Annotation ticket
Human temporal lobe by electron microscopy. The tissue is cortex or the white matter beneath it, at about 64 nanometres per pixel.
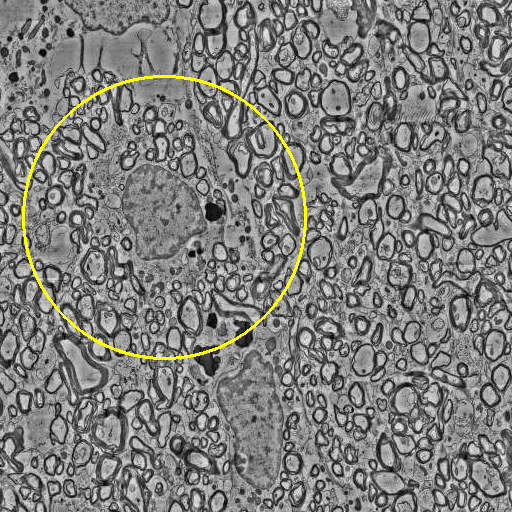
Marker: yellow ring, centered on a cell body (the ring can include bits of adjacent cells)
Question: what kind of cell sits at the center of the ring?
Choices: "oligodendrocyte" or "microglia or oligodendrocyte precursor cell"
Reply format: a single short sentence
The ring is centered on an oligodendrocyte.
